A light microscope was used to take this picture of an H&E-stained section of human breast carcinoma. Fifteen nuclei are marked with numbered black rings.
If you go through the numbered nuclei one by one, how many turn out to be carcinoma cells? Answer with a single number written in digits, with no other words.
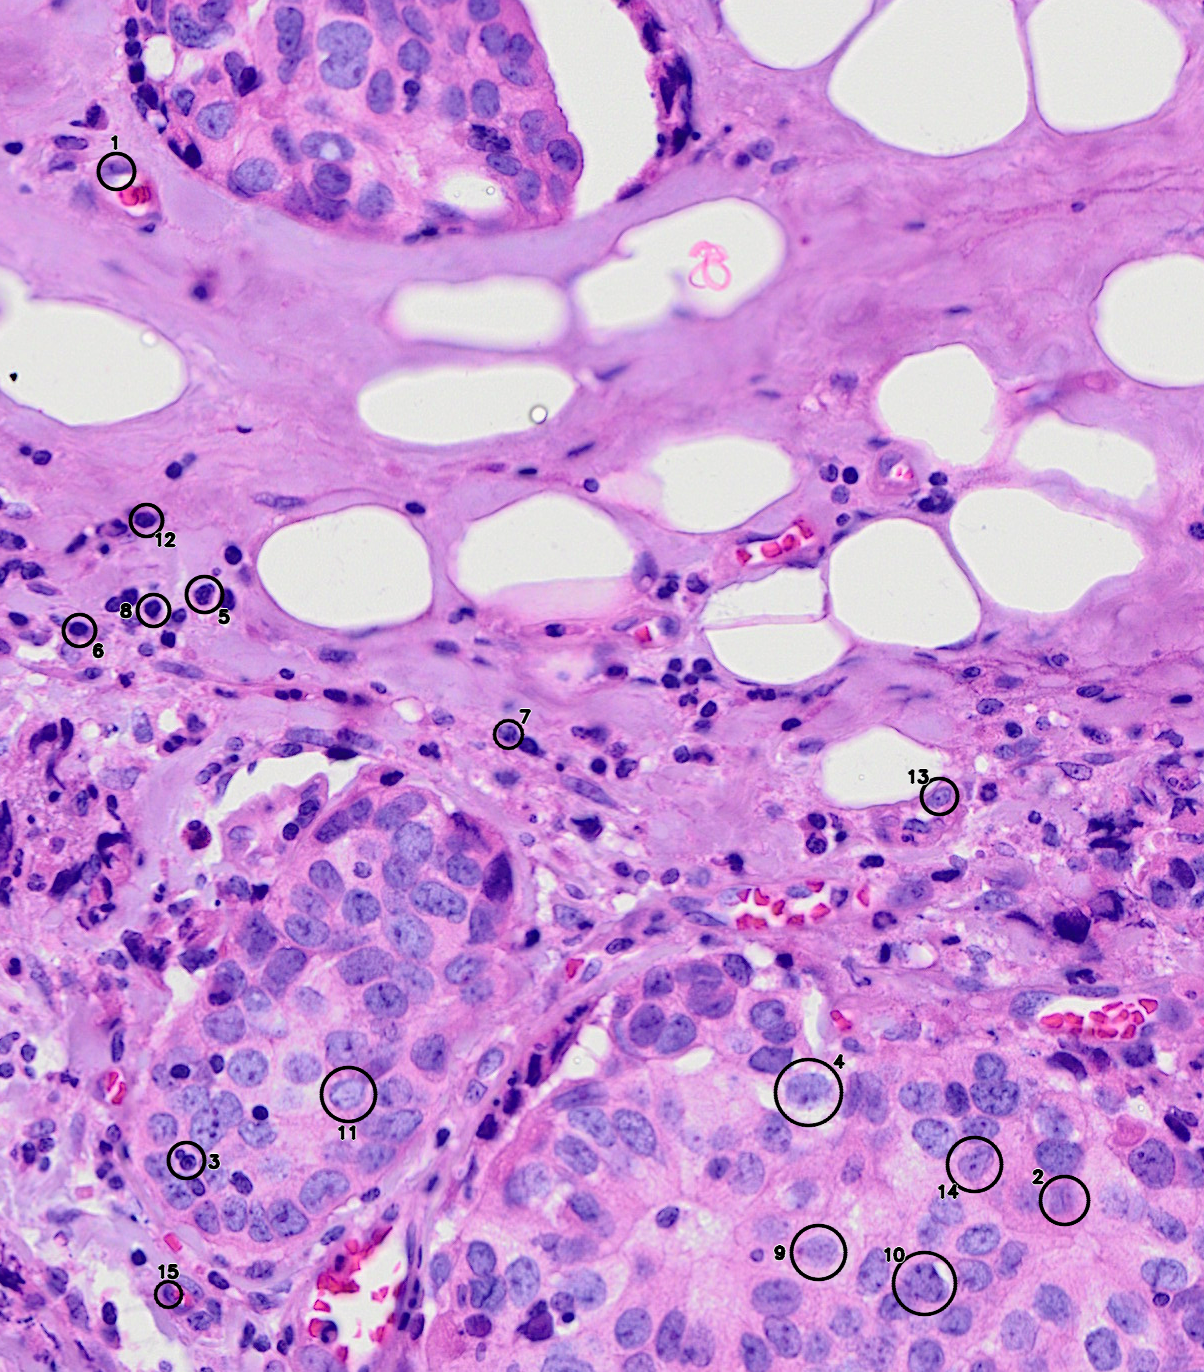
6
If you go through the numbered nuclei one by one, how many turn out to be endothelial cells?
3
